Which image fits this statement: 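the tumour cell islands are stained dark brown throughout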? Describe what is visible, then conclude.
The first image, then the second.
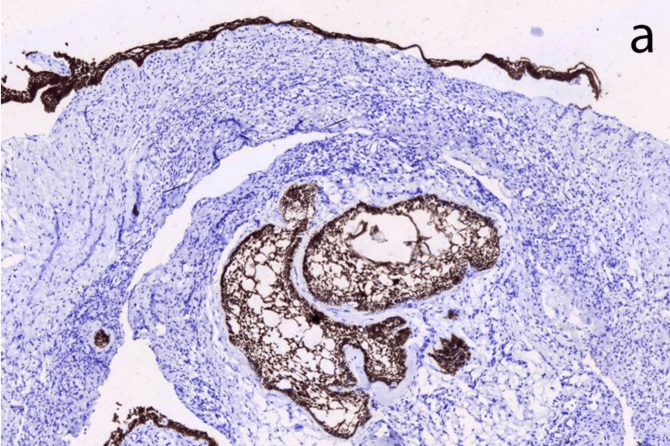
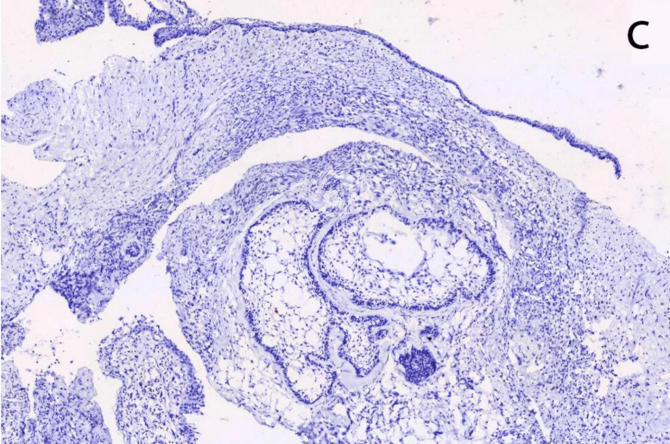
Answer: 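The first image. Second image: the epithelial islands are blue, with at most scattered faint brown. First image: the epithelial islands, both their rim and their loose centre, are dense dark brown.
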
